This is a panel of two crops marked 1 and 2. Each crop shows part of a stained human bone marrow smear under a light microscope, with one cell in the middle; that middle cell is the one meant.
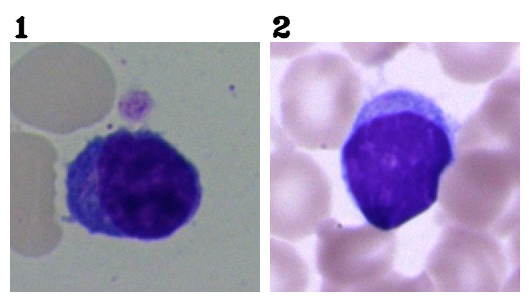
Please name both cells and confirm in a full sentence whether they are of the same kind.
Yes, in the middle of both crops, lymphocytes are shown.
